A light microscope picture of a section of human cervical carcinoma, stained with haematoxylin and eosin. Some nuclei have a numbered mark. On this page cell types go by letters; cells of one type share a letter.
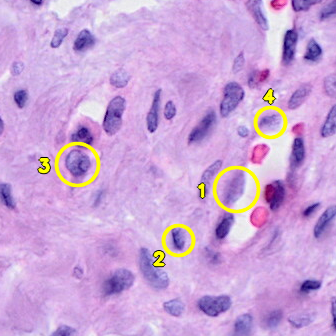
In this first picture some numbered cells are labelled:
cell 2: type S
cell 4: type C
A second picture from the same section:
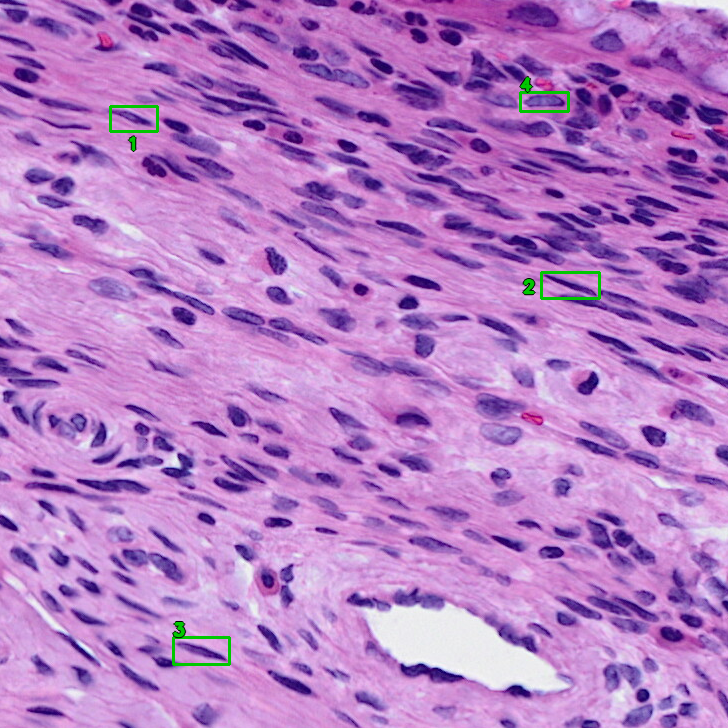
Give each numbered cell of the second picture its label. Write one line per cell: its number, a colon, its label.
1: type S
2: type S
3: type S
4: type C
